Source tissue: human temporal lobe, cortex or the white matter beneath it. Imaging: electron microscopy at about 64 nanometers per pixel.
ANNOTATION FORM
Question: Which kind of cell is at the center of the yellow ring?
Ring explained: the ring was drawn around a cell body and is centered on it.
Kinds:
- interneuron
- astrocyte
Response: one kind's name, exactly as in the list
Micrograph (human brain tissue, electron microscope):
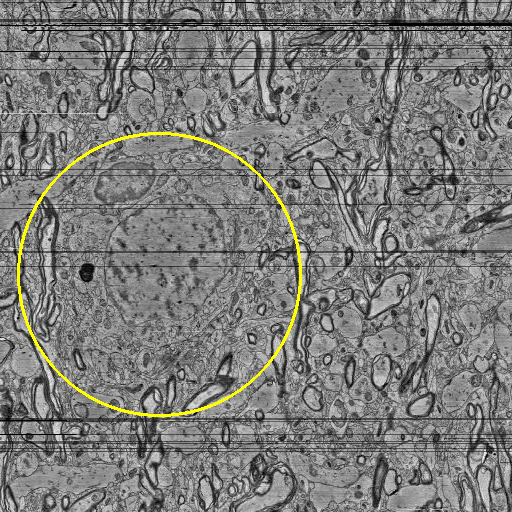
interneuron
